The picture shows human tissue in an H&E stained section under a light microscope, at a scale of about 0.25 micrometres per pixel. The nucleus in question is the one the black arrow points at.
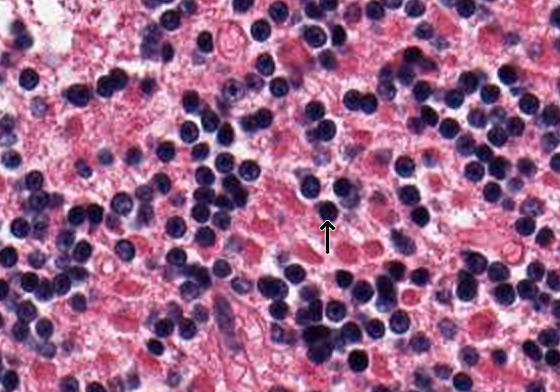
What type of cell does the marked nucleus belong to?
cerebellar granule cell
